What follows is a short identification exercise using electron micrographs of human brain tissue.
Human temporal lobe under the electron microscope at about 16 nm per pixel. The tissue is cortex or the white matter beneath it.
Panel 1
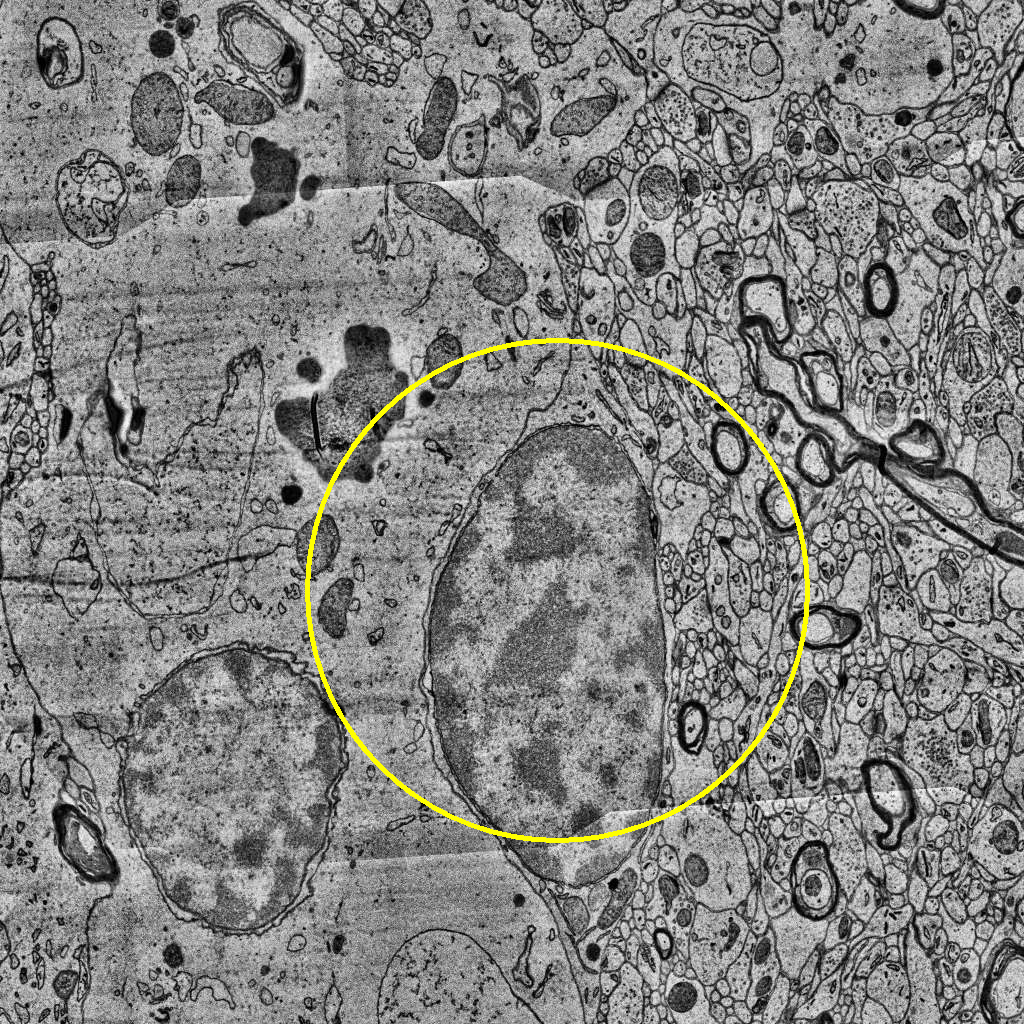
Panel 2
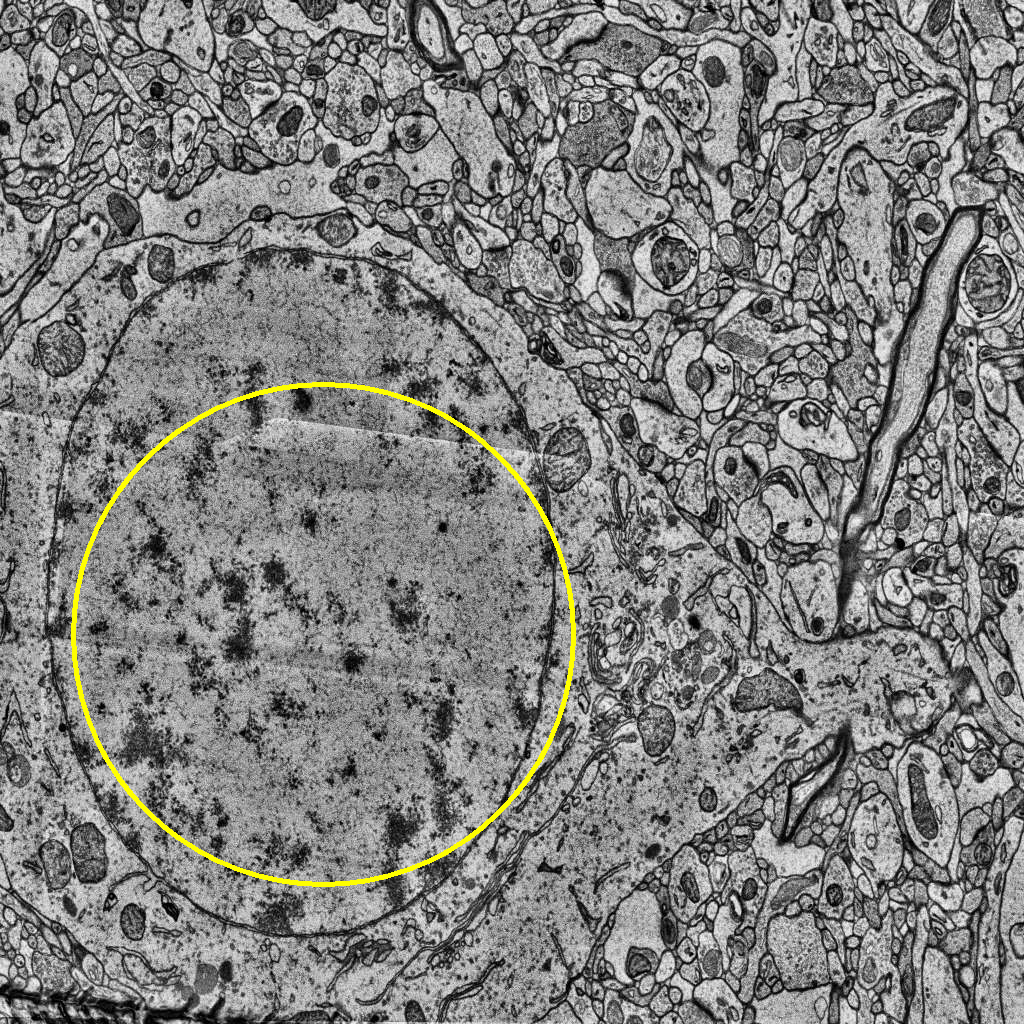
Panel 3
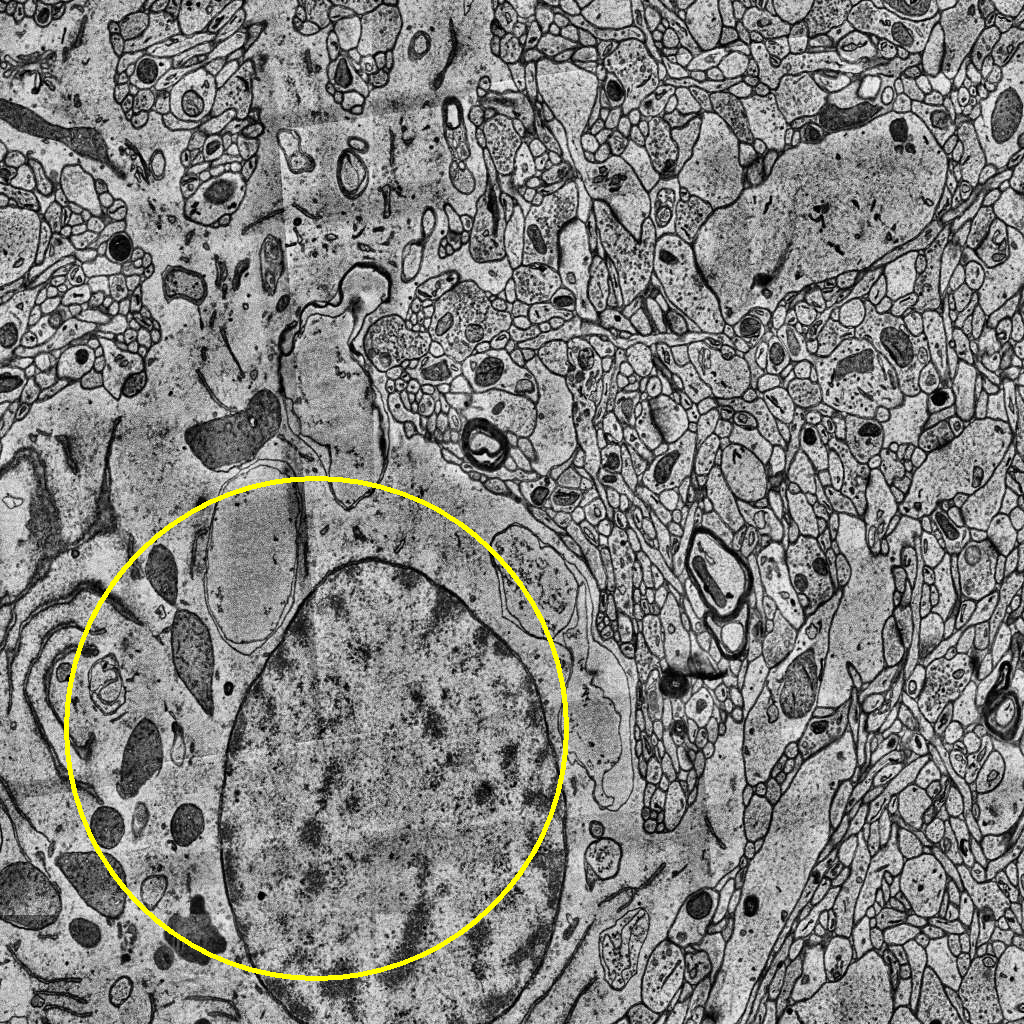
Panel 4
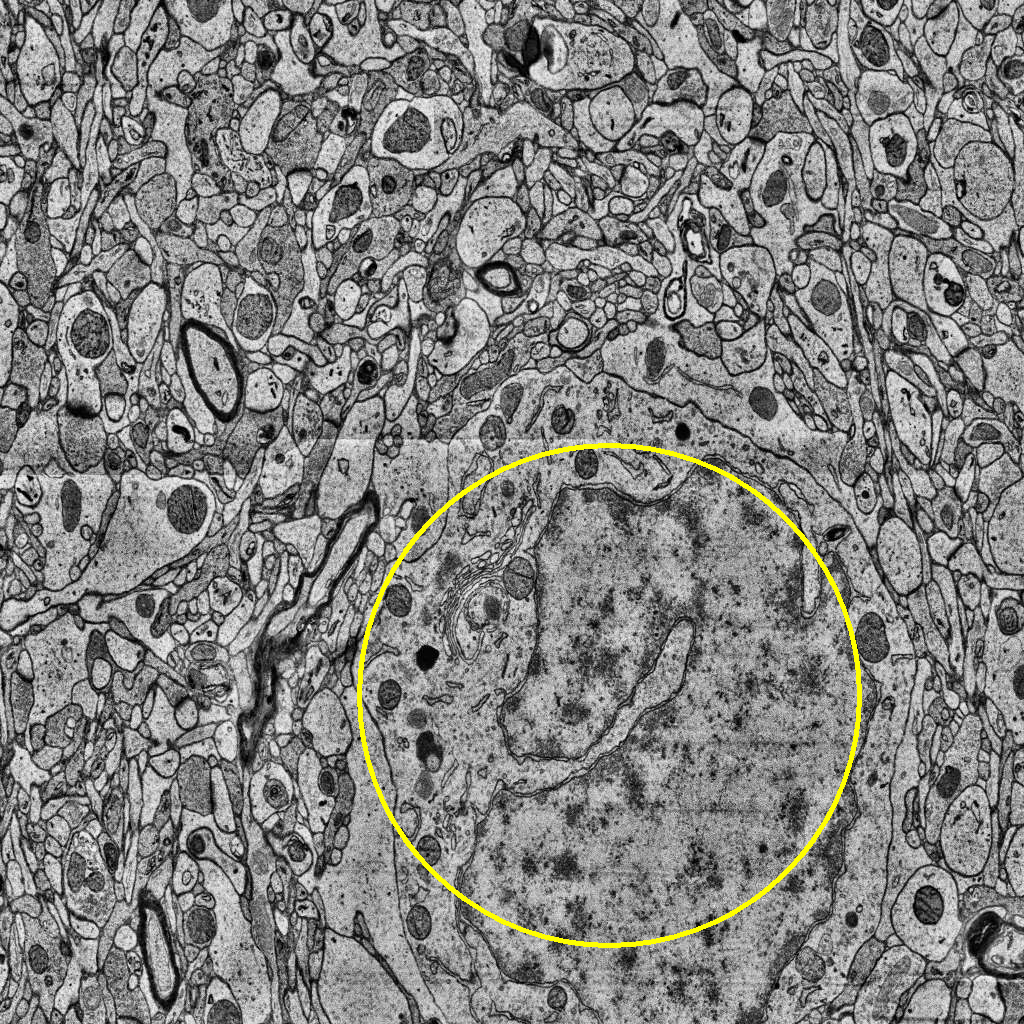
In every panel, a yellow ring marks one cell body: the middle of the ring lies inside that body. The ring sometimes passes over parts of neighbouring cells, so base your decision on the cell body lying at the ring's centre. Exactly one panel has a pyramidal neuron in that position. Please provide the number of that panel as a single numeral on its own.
2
